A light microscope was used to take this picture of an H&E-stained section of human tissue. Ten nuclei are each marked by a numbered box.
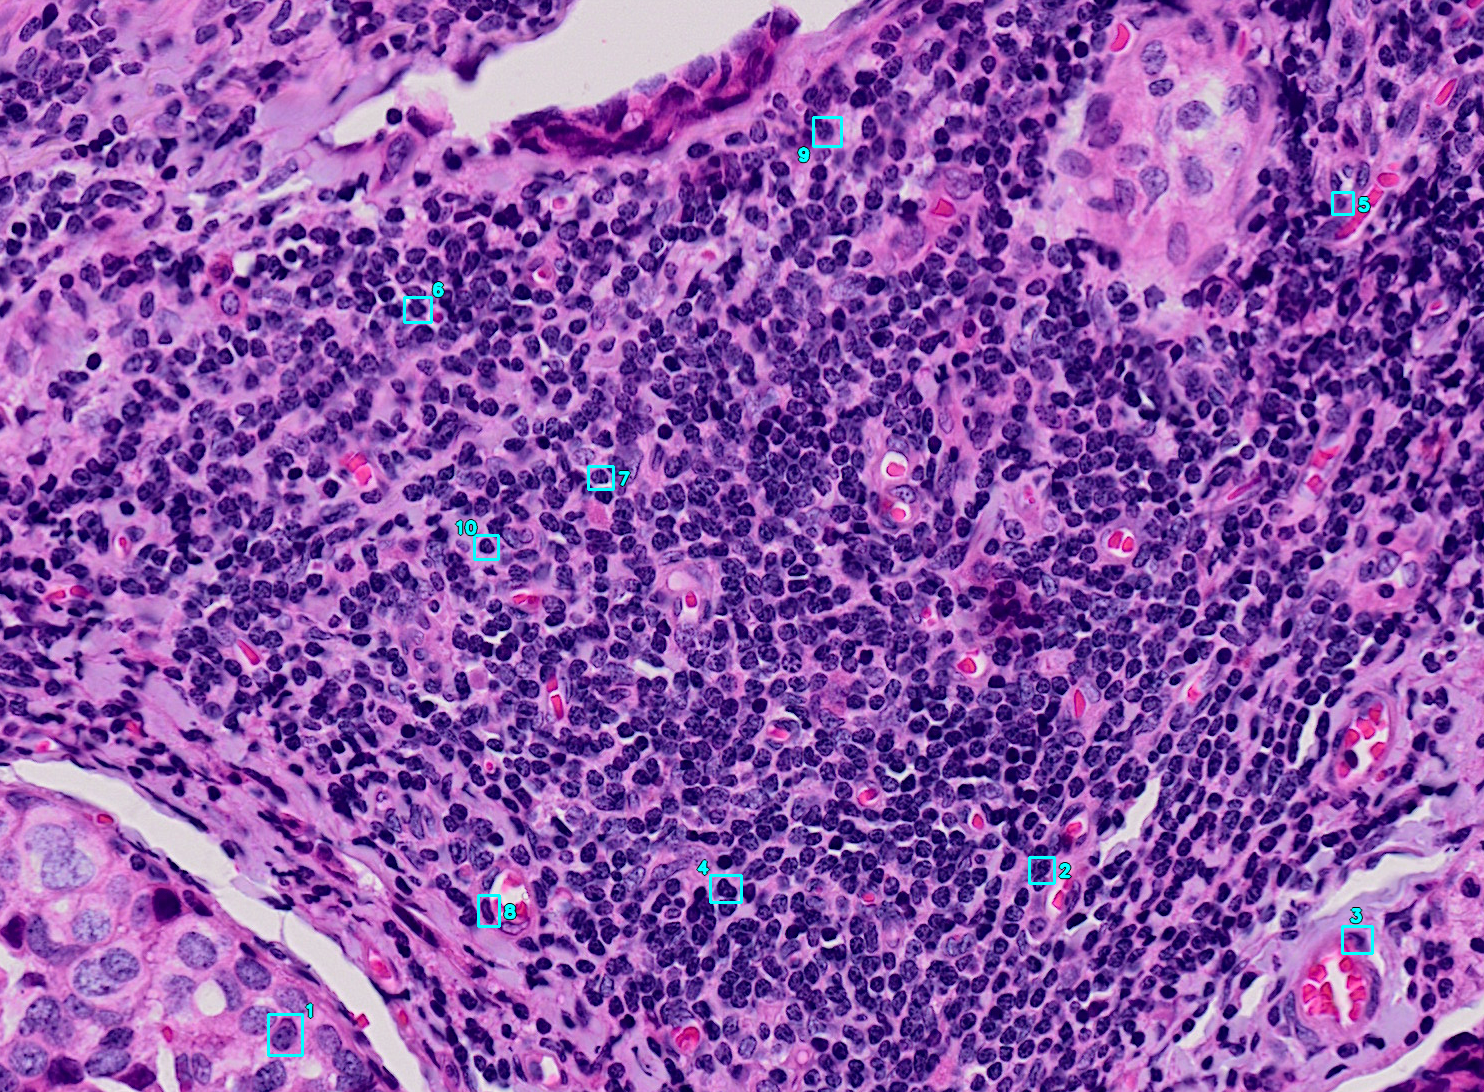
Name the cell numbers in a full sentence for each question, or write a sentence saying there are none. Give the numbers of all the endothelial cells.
The cells numbered 3, 5 and 8 are of one kind: endothelial cells.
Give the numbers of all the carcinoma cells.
Just one numbered cell is a carcinoma cell, and that cell is number 1.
